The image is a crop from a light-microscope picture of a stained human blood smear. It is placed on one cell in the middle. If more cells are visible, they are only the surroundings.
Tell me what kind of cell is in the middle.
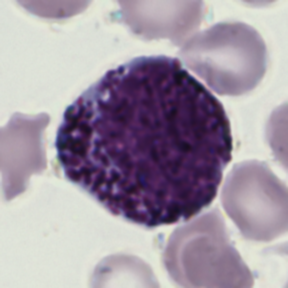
basophil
